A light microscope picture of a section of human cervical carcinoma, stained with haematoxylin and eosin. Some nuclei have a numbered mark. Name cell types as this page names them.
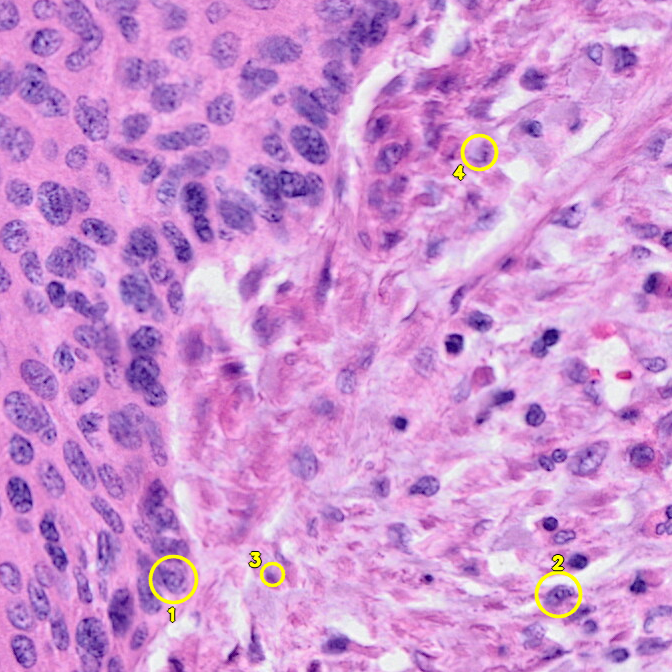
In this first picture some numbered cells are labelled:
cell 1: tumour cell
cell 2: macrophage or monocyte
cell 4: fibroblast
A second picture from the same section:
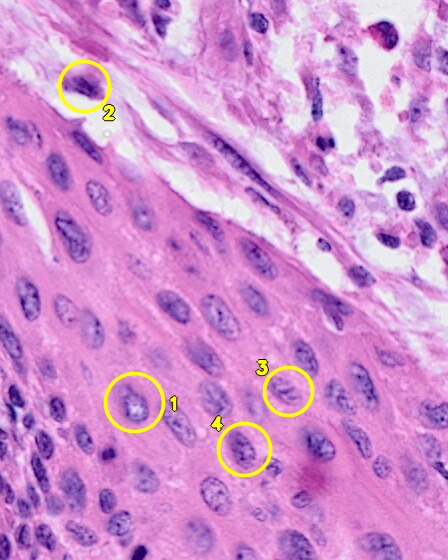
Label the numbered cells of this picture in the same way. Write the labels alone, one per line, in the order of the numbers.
tumour cell
macrophage or monocyte
tumour cell
tumour cell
